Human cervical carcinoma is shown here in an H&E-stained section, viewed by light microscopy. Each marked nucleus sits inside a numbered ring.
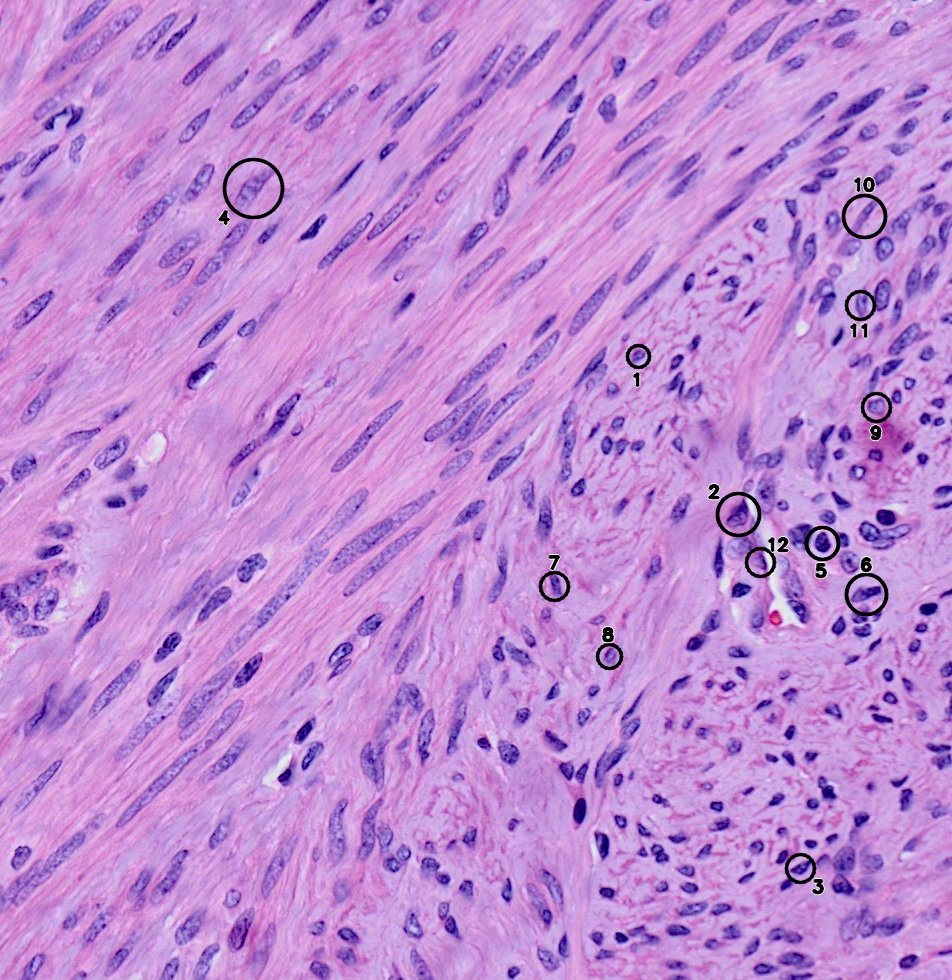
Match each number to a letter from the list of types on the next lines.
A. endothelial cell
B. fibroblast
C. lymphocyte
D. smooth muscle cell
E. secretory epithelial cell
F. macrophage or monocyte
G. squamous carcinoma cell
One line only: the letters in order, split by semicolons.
D; A; B; D; C; B; D; D; D; D; D; A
